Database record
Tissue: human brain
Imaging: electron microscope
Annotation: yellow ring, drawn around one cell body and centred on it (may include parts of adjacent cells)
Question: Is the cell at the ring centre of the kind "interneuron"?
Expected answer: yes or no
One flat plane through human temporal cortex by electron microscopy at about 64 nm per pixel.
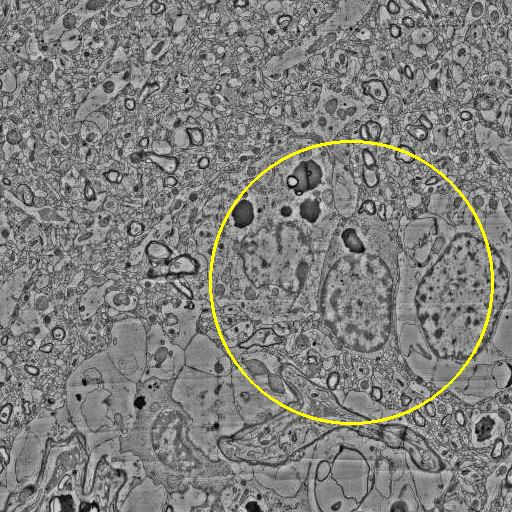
no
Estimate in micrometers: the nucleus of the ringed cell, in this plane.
The nucleus comes to roughly 6 by 5 micrometres in this plane.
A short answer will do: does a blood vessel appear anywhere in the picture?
Yes.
